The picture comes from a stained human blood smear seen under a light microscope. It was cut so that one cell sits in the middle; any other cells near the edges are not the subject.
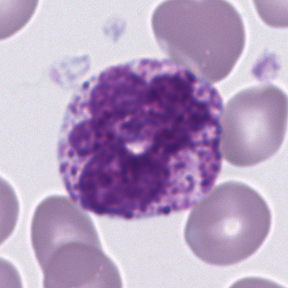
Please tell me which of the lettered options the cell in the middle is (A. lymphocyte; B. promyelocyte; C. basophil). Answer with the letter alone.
C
